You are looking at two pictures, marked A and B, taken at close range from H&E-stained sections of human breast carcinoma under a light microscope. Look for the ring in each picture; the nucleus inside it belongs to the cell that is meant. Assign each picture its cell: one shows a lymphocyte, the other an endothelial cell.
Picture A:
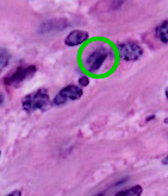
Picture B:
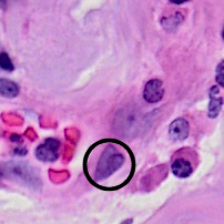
A: lymphocyte
B: endothelial cell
